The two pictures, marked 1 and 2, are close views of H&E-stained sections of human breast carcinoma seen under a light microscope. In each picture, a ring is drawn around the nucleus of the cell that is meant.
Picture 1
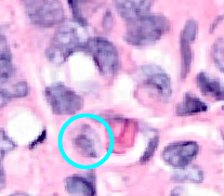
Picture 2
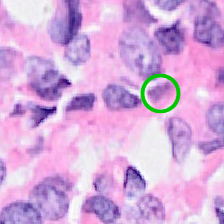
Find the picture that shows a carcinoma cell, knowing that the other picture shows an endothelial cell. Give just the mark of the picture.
2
